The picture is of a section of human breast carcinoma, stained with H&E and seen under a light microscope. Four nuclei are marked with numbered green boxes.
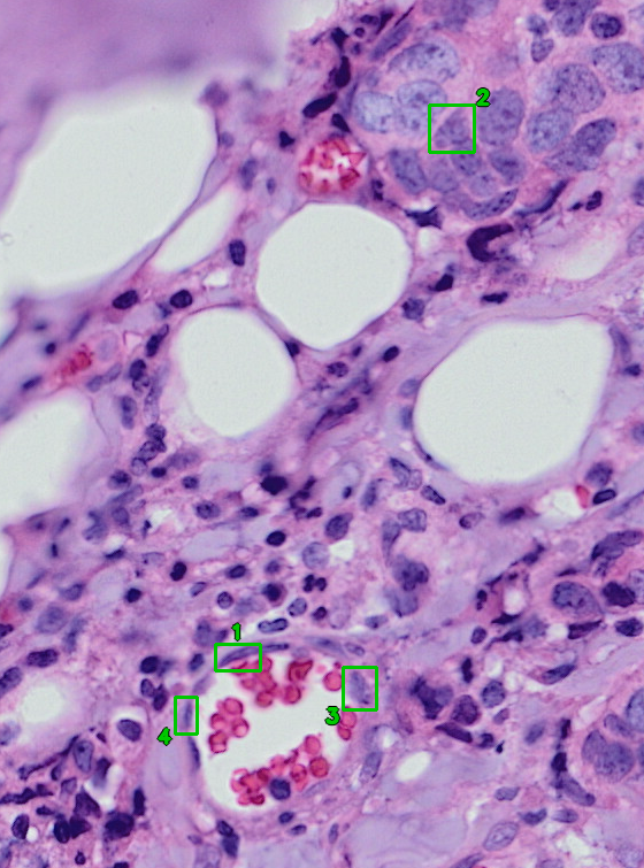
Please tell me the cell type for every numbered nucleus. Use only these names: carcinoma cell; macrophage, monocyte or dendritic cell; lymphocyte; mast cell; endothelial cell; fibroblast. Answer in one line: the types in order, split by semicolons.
endothelial cell; carcinoma cell; endothelial cell; endothelial cell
